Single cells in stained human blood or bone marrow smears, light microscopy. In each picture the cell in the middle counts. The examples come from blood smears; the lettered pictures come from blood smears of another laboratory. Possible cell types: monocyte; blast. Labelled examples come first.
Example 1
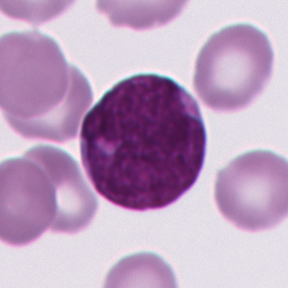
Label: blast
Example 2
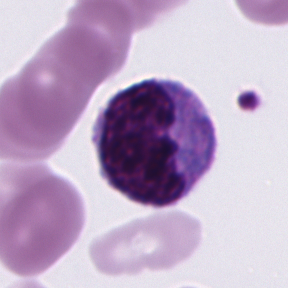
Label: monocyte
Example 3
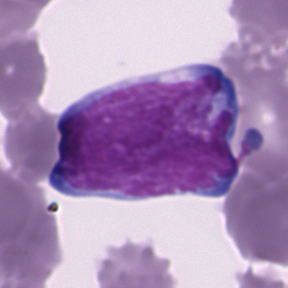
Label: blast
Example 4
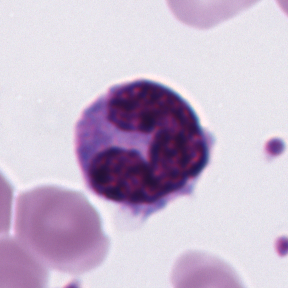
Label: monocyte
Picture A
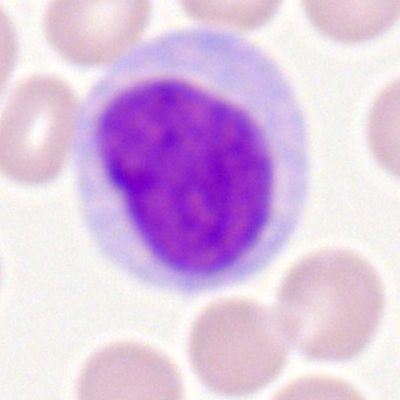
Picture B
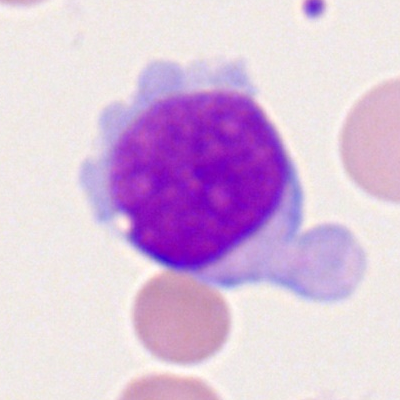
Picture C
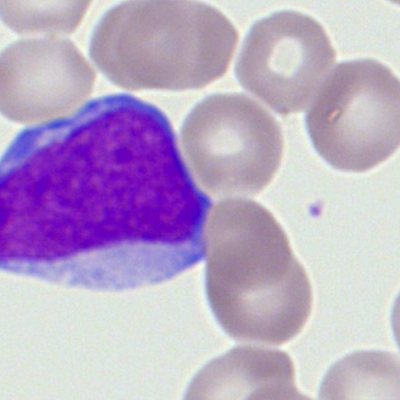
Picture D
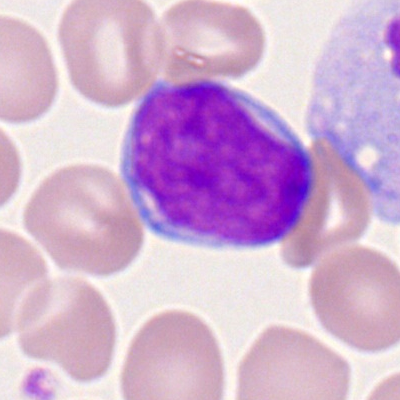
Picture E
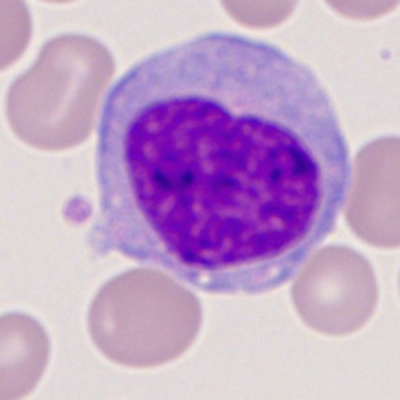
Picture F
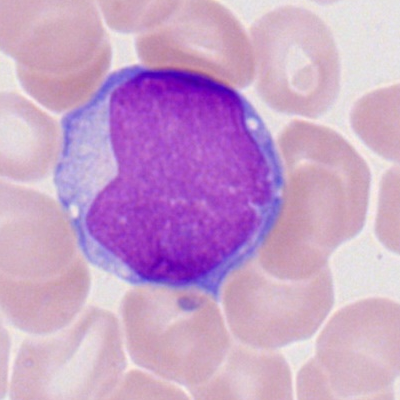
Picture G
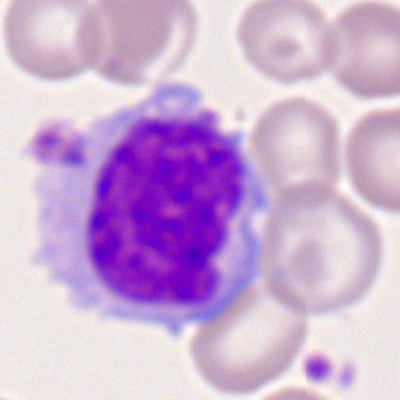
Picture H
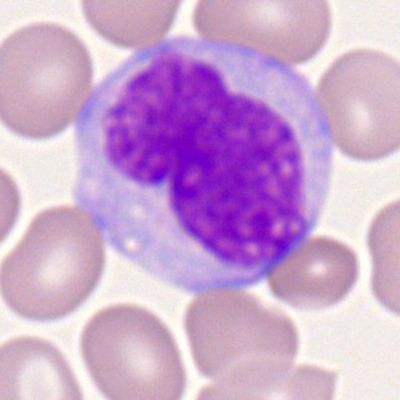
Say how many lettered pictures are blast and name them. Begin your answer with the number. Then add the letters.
Count: 5 (A, B, C, D, F)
